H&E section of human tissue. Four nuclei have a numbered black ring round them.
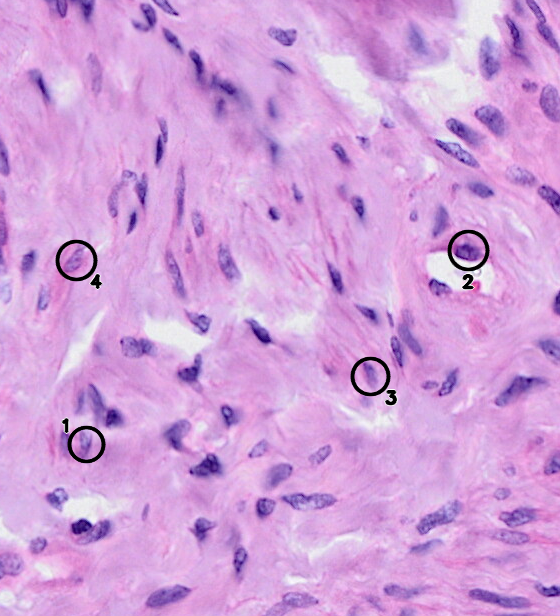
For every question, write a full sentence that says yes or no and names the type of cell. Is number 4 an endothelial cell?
No, it is a smooth muscle cell, not an endothelial cell, that number 4 marks.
